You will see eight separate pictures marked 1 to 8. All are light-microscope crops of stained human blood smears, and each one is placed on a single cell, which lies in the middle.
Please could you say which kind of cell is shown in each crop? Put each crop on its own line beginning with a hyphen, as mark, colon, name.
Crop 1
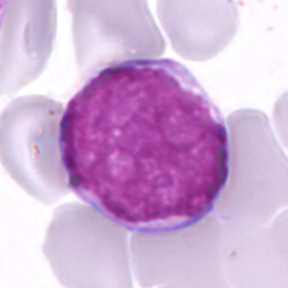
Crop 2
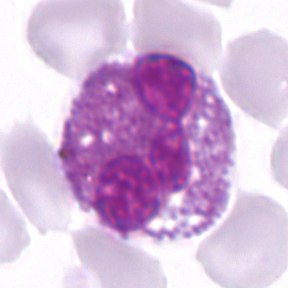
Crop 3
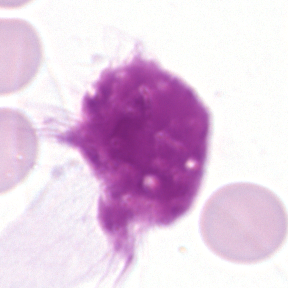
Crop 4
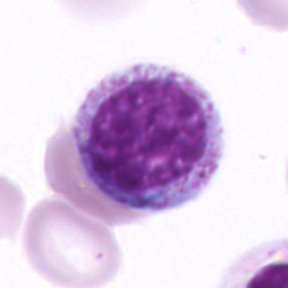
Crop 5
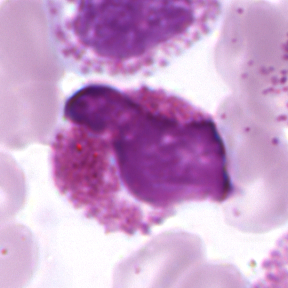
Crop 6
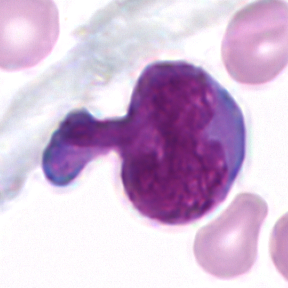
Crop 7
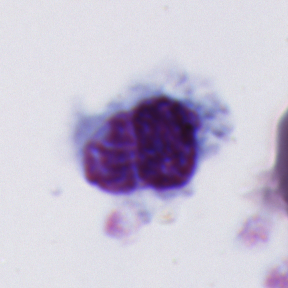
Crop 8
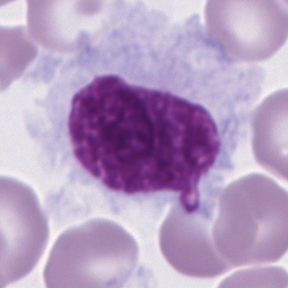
- 1: myeloblast
- 2: eosinophil
- 3: smudge cell
- 4: metamyelocyte
- 5: eosinophil
- 6: atypical promyelocyte
- 7: hairy cell
- 8: hairy cell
